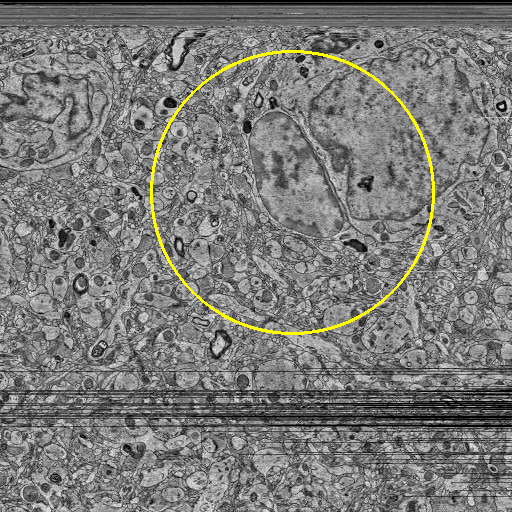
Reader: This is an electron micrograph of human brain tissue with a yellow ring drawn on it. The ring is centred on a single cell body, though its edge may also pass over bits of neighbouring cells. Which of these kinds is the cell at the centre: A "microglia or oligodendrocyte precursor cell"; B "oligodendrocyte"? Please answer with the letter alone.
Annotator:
A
